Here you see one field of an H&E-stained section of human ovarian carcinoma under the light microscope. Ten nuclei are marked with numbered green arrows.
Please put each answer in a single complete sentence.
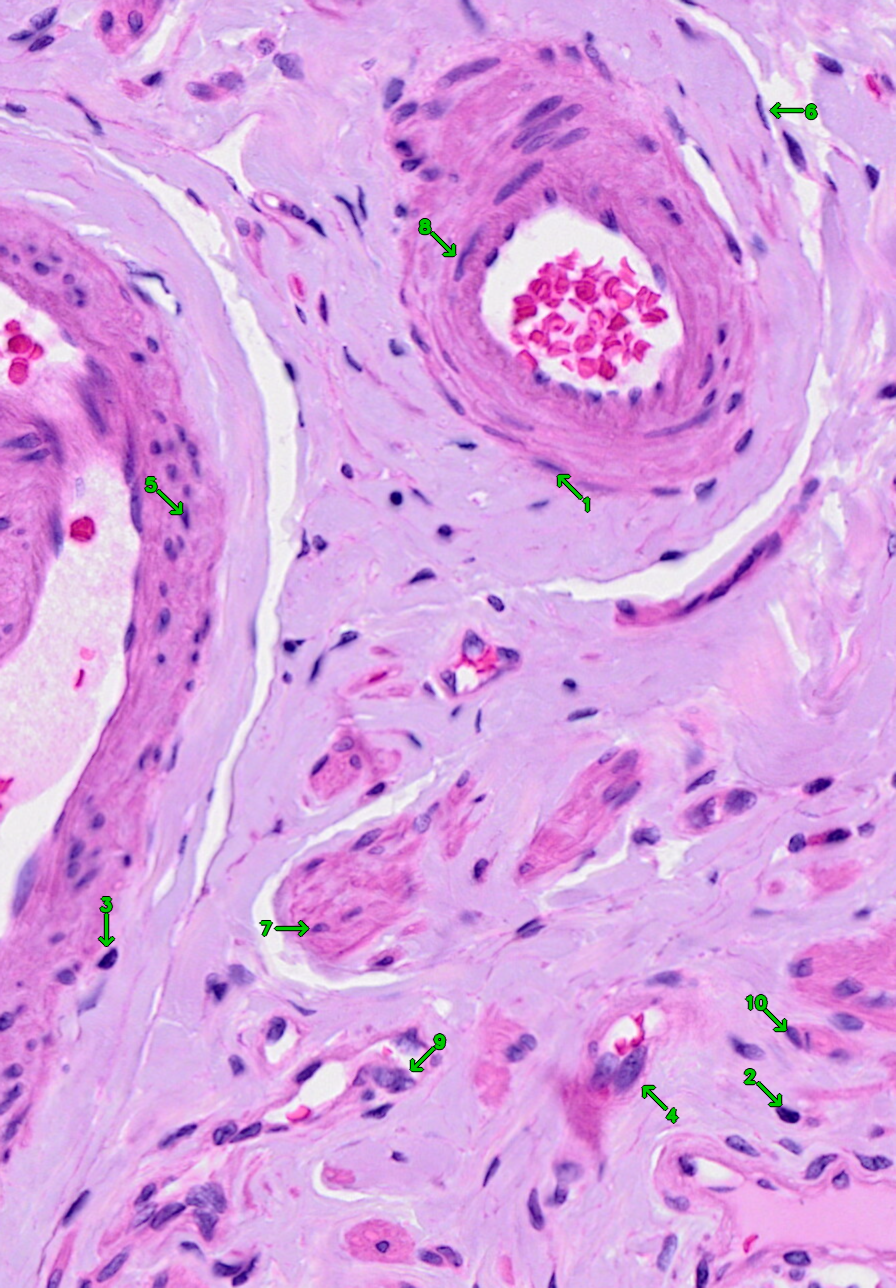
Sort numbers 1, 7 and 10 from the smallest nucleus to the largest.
From smallest to largest, the order is 7, 10, 1.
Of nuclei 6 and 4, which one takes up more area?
At about 4 times the area of nucleus 6, nucleus 4 is the larger of the two.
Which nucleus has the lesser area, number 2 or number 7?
The smaller nucleus is 7, and 2 covers roughly 2.5 times its area.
